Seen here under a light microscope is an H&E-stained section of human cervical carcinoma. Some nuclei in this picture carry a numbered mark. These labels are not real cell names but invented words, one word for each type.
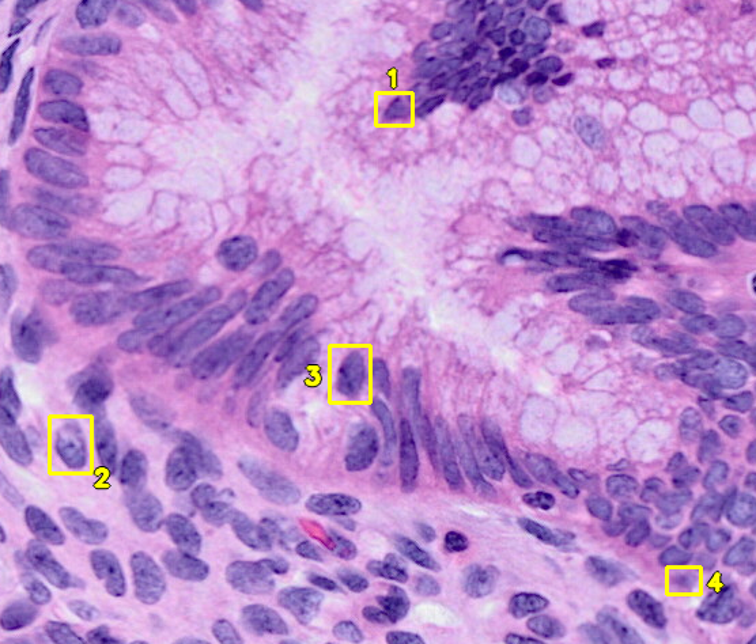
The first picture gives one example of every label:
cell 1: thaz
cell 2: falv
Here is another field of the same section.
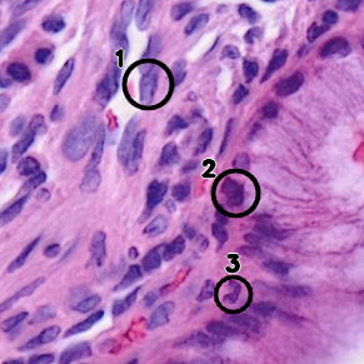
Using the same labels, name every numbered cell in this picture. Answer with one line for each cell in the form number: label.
1: falv
2: thaz
3: thaz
